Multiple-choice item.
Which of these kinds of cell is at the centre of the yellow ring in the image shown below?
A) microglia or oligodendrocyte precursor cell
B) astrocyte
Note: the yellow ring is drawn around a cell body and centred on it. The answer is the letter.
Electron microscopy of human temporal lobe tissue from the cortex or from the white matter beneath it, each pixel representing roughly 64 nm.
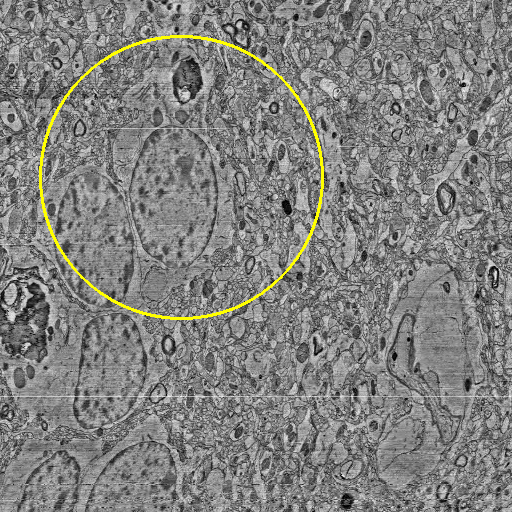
B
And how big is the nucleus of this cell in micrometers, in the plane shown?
About 9 by 6 micrometers; the nucleus is clearly longer than it is wide in this plane.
